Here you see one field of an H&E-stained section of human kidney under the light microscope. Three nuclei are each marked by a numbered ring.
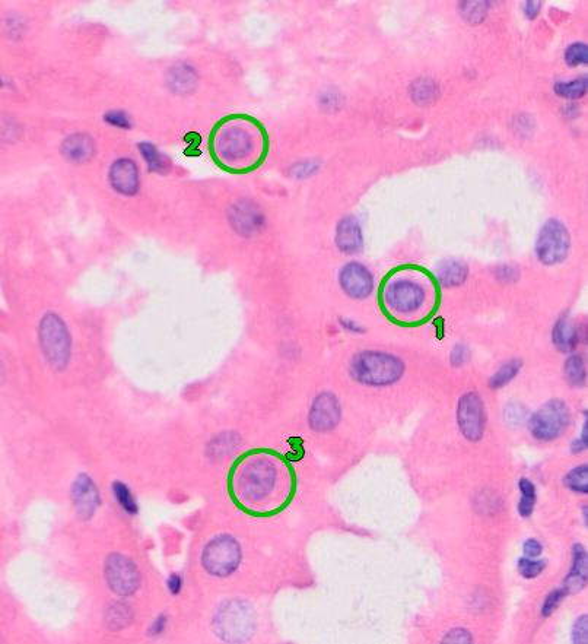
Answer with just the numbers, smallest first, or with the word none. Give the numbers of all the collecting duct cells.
none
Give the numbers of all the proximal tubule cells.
2, 3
